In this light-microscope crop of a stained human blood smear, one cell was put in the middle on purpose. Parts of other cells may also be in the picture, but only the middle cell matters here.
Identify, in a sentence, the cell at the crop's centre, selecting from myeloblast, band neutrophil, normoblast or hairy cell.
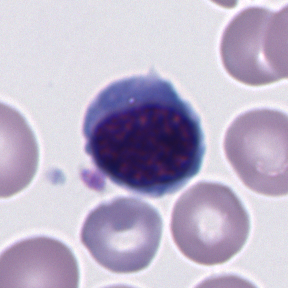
The cell sitting right in the middle is a normoblast.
